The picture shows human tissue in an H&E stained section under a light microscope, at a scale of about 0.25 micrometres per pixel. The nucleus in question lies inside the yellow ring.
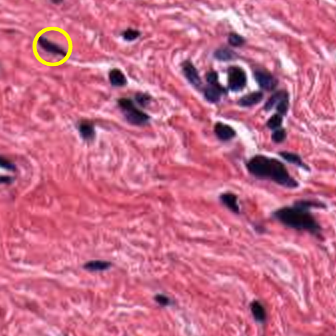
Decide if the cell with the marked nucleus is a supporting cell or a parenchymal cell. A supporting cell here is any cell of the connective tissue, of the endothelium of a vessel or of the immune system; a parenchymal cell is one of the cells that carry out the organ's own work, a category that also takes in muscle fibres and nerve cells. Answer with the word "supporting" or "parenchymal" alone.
supporting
